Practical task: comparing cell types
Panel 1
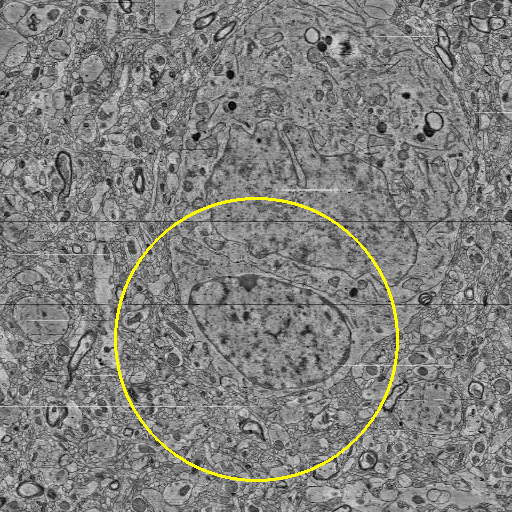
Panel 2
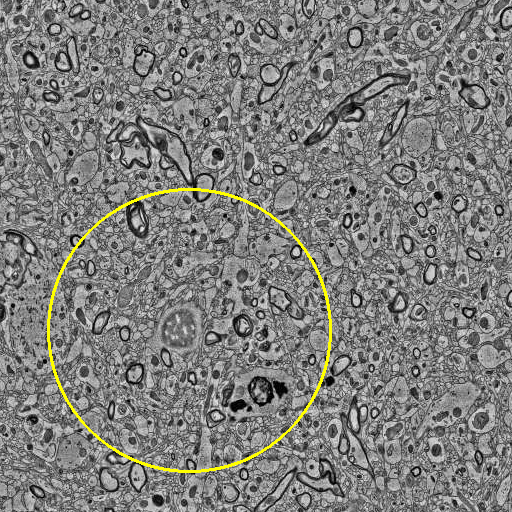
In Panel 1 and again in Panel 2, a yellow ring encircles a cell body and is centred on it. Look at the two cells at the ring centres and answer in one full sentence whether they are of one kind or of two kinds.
The two cells sitting at the ring centres of Panels 1 and 2 are of two kinds.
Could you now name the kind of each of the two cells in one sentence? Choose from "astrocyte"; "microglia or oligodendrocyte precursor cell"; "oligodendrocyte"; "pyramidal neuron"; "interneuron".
The first ring encloses a microglial cell or oligodendrocyte precursor cell; the second ring encloses an oligodendrocyte.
